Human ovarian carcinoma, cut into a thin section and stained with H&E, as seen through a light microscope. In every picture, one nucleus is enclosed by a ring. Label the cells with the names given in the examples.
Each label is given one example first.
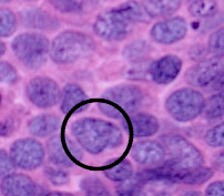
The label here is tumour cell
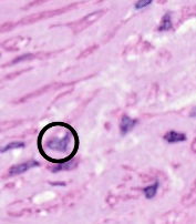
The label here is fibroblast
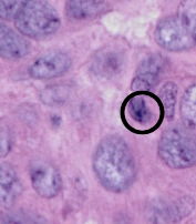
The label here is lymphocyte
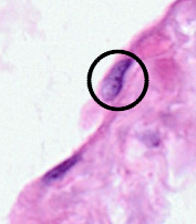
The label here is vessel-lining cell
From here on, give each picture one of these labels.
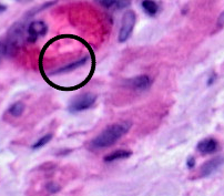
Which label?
vessel-lining cell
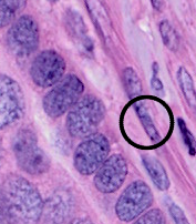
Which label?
fibroblast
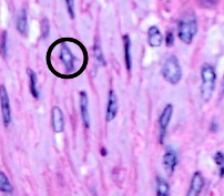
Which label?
fibroblast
